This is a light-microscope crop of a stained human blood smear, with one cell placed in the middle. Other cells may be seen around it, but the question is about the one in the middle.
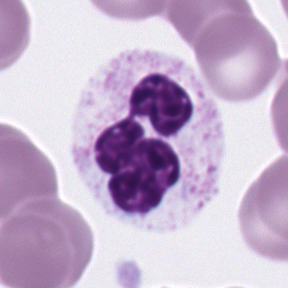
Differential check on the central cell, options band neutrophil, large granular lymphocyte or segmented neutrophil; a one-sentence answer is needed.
The cell that lies at the centre of the crop is a segmented neutrophil.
